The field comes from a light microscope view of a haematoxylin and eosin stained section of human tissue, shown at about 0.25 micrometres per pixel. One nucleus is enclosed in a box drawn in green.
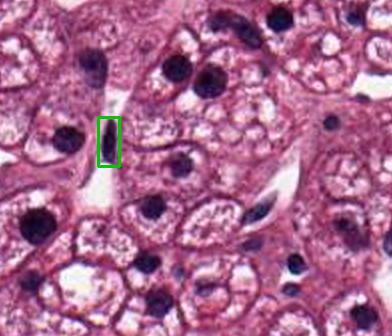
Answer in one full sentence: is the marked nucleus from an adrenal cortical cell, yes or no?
No, the marked nucleus is carried by a supporting cell rather than by an adrenal cortical cell.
